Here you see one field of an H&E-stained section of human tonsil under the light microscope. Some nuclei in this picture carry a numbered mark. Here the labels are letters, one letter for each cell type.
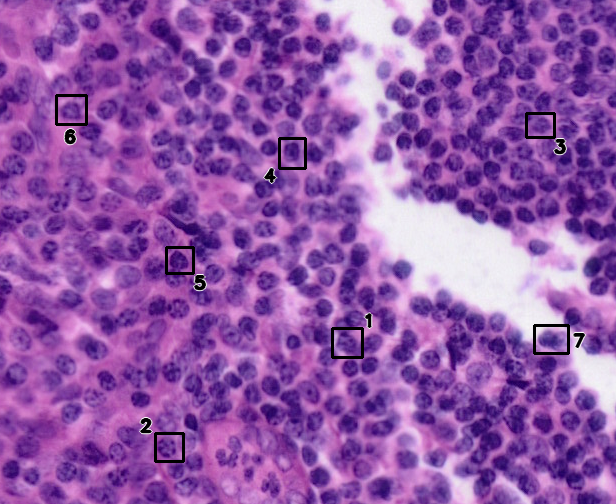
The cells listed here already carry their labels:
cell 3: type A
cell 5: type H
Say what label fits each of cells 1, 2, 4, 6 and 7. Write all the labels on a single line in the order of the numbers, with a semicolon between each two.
type A; type H; type A; type H; type A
